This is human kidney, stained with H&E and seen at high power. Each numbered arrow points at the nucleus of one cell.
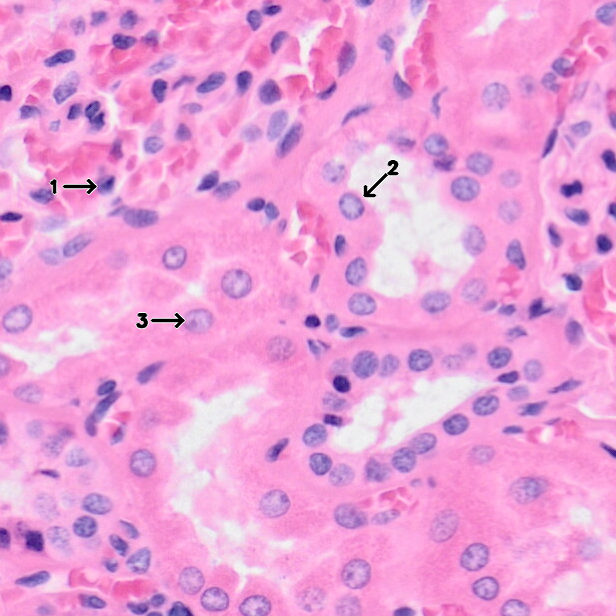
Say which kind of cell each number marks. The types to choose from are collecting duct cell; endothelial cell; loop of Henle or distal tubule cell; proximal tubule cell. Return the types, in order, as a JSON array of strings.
["endothelial cell", "loop of Henle or distal tubule cell", "proximal tubule cell"]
